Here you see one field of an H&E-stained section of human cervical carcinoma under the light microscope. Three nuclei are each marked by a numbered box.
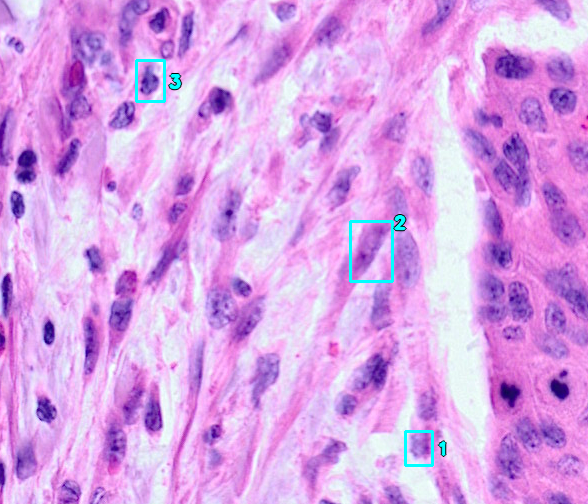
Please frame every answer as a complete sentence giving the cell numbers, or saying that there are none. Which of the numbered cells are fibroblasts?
The cells that bear the numbers 1 and 2 are fibroblasts.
